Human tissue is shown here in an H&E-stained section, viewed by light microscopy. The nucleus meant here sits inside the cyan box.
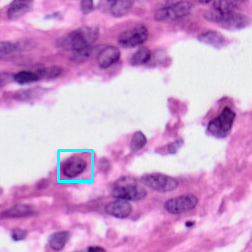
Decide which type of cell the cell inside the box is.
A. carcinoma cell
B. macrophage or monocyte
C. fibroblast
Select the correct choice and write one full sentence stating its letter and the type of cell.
The right pick is option B; the cell inside the box is a macrophage or monocyte.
